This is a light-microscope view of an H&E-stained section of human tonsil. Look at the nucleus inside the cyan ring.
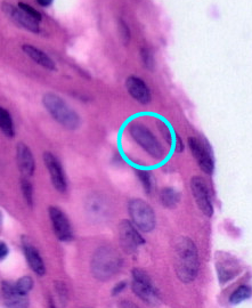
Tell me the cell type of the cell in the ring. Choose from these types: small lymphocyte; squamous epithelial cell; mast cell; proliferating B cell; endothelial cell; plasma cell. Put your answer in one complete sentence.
Students should answer that the cell in the ring is a squamous epithelial cell.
